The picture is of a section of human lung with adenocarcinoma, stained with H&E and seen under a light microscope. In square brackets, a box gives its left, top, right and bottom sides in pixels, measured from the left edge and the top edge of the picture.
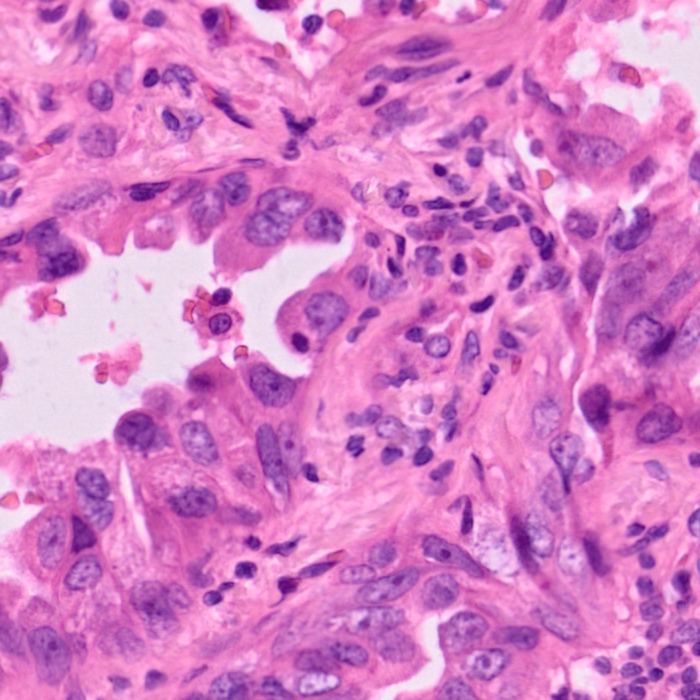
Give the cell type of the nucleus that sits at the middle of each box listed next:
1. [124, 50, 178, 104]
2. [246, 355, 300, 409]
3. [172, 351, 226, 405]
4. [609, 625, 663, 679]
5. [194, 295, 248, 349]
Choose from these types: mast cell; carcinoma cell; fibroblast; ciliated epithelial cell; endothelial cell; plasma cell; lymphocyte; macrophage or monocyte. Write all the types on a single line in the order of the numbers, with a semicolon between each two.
lymphocyte; carcinoma cell; carcinoma cell; lymphocyte; macrophage or monocyte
